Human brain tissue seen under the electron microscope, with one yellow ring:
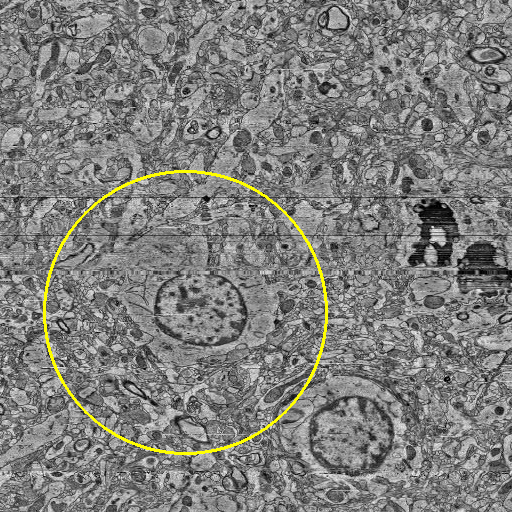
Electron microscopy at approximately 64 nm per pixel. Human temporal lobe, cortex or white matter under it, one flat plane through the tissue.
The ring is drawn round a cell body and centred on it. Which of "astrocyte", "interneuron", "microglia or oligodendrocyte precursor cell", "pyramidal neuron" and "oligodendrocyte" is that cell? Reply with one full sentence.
The picture shows an astrocyte at the very centre of the yellow ring.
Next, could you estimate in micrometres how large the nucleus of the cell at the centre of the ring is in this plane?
The nucleus measures about 6 by 5 micrometres in this plane.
